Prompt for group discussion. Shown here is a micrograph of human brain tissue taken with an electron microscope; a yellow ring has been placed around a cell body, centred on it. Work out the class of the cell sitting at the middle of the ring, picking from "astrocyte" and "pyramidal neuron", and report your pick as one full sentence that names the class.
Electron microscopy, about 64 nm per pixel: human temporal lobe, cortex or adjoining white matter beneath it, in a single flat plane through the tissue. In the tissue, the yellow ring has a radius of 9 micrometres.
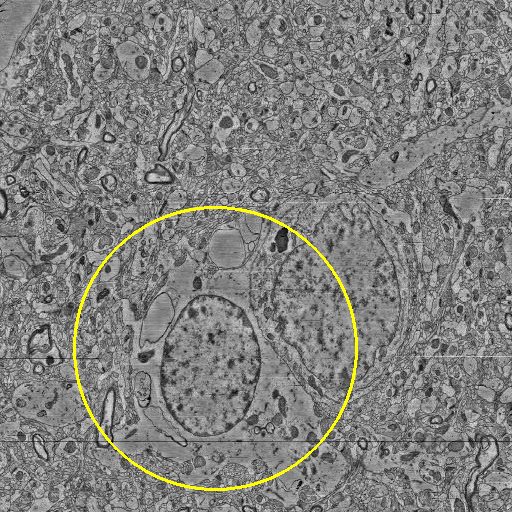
The cell sitting at the middle of the yellow ring is an astrocyte.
